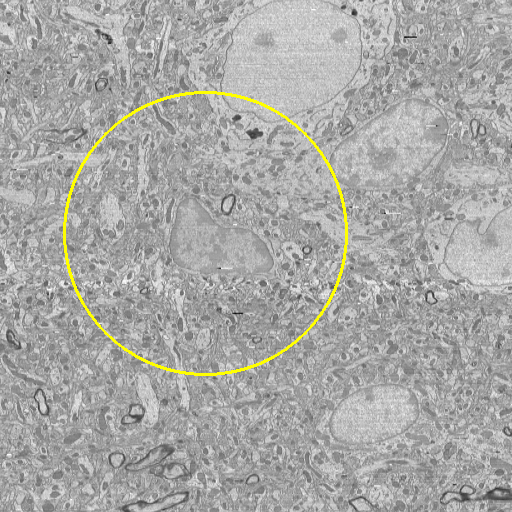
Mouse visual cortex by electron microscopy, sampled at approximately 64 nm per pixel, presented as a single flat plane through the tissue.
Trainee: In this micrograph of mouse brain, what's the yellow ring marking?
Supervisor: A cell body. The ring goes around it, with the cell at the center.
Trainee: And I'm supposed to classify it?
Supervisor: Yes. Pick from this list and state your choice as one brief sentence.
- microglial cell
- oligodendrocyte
The cell at the ring's center is a microglial cell.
